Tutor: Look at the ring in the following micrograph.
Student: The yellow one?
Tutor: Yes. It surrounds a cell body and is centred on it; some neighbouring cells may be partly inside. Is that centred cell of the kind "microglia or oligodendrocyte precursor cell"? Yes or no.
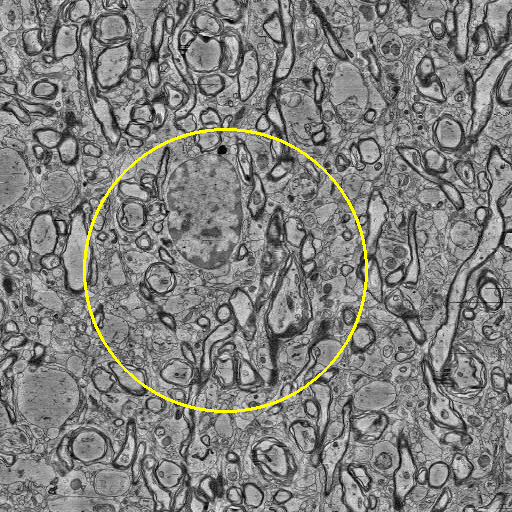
yes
